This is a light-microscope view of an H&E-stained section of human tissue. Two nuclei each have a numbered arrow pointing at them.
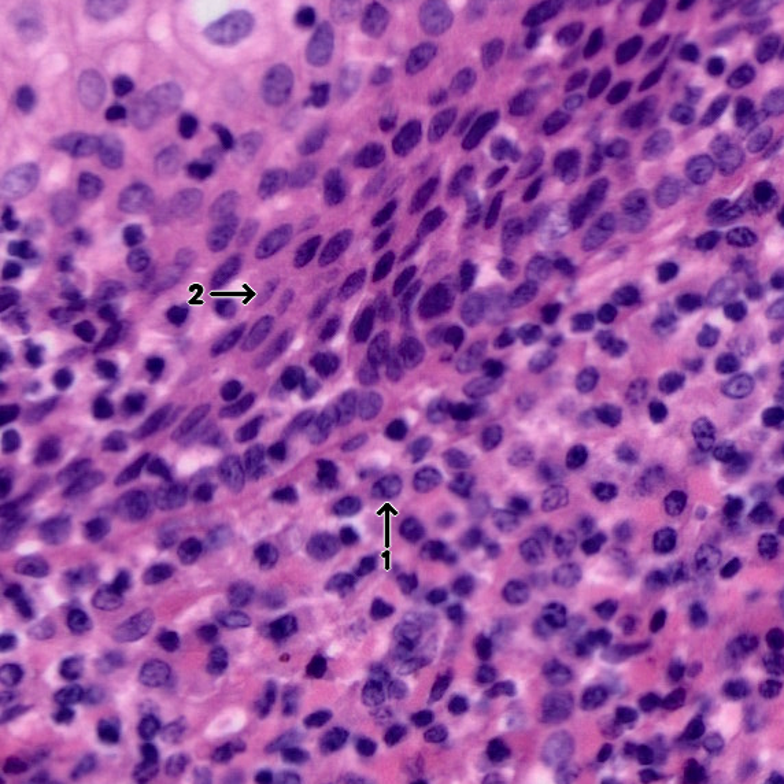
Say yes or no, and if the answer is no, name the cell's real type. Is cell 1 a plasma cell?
Yes.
